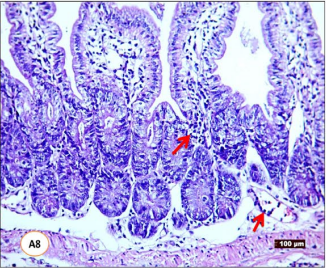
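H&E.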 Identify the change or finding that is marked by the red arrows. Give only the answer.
Inflammatory cellular infiltrate.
